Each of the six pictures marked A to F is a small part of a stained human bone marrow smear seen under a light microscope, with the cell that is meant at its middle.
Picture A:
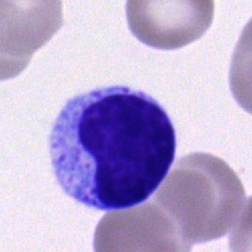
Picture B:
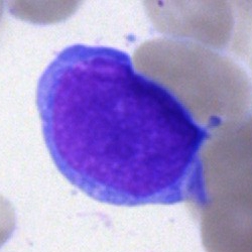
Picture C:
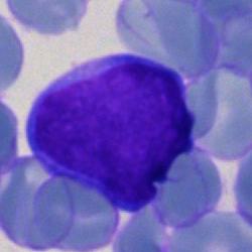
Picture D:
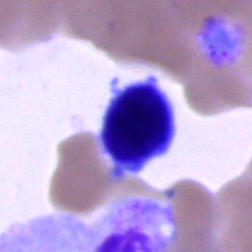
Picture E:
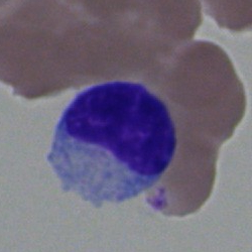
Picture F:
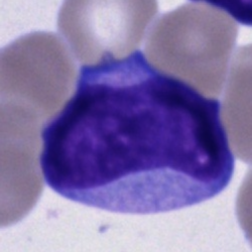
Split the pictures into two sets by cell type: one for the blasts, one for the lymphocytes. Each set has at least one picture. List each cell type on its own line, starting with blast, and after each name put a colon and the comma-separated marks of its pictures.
blast: B, C, F
lymphocyte: A, D, E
